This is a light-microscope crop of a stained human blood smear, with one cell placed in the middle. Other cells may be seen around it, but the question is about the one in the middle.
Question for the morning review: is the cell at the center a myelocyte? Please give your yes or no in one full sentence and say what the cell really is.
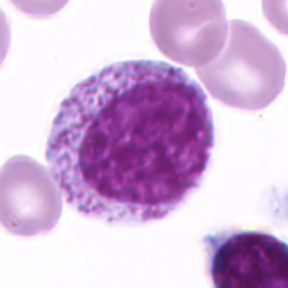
Yes, what sits in the middle of the crop is a myelocyte.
